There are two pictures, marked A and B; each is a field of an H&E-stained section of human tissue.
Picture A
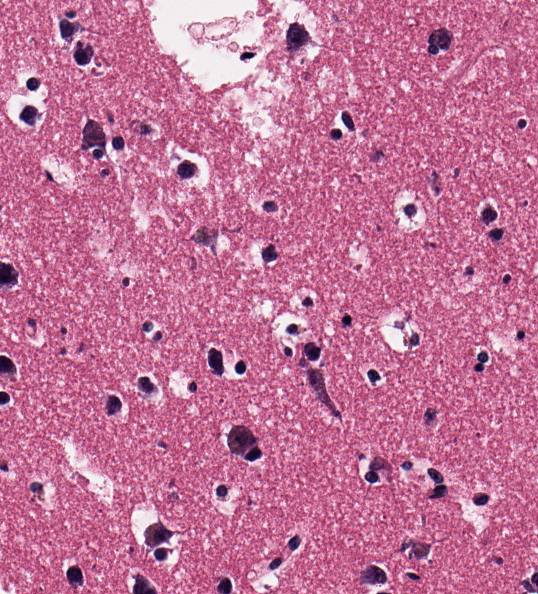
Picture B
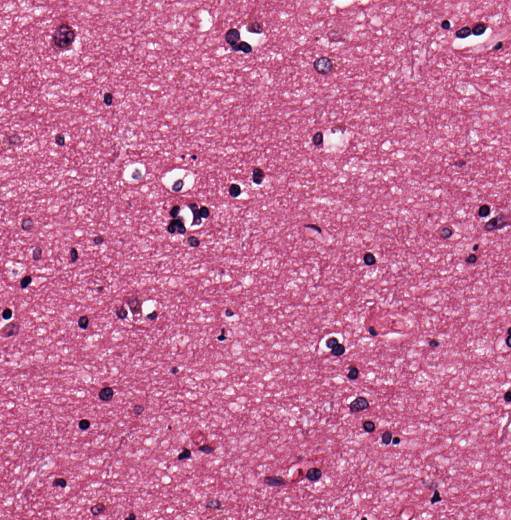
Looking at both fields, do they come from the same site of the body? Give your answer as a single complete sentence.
Yes, they come from the same site of the body: both come from the cerebral cortex.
